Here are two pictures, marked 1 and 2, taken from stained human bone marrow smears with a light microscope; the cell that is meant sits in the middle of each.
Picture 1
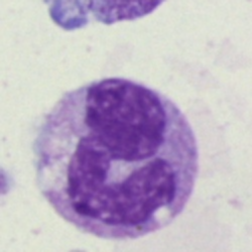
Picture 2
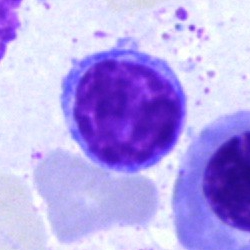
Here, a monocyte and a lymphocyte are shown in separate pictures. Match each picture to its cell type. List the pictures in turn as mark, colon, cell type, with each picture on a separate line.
1: monocyte
2: lymphocyte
